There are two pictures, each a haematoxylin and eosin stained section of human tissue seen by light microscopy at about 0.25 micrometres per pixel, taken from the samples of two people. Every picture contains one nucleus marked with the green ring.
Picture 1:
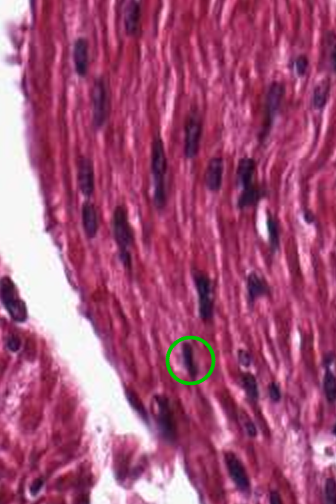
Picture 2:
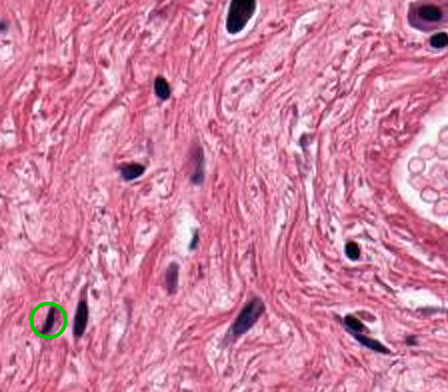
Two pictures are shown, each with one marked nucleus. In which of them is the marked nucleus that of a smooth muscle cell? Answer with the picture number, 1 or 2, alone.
1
